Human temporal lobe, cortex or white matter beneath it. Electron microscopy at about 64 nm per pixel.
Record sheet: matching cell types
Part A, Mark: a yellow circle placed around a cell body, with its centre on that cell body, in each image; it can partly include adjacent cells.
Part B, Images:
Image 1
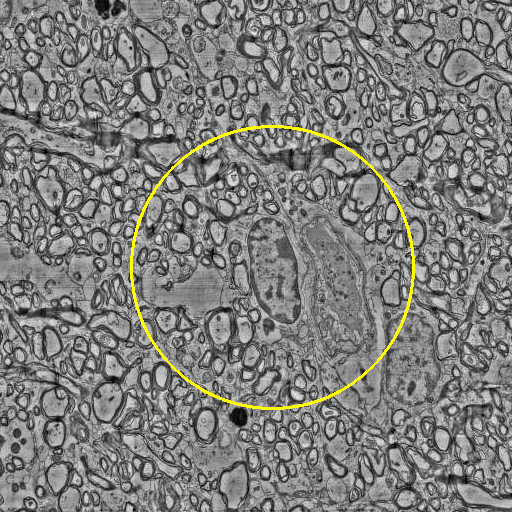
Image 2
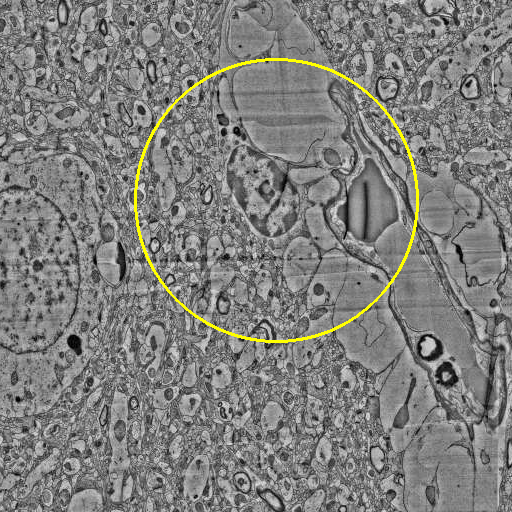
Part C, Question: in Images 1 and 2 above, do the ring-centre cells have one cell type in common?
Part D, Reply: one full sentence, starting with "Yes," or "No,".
Yes, the ring-centre cells of Image 1 and Image 2 are both of a single cell type.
